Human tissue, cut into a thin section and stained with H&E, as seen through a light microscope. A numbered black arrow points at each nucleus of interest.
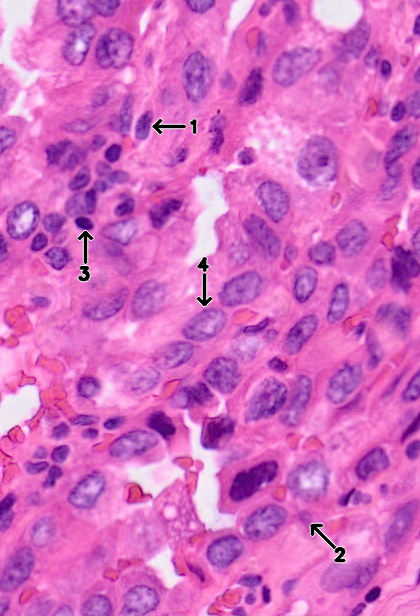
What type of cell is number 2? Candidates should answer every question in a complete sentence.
Recognised here as a carcinoma cell is the cell numbered 2.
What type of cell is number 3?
The cell given label 3 is a lymphocyte.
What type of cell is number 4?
The cell carrying label 4 is identified as a carcinoma cell.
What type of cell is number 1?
The nucleus marked 1 is the nucleus of a lymphocyte.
